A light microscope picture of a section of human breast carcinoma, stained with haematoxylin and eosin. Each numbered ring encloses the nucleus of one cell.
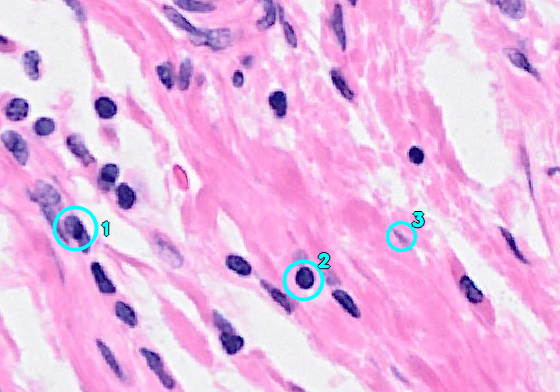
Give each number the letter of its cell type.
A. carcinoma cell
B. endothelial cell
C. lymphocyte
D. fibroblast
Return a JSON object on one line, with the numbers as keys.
{"1": "C", "2": "C", "3": "D"}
